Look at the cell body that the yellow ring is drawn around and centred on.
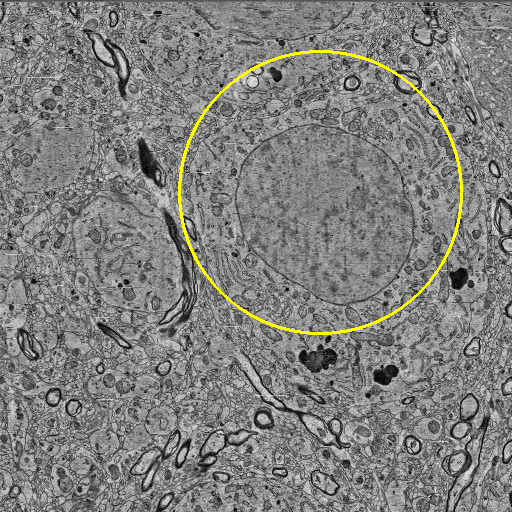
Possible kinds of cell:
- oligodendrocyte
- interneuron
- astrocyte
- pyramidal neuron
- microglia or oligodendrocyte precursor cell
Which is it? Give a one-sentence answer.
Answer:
The centred cell body is that of an interneuron.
